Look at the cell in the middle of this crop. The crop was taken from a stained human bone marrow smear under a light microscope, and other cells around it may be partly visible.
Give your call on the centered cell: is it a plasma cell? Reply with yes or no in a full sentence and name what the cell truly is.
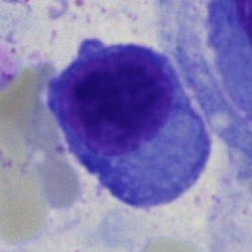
Yes, the cell positioned at the centre of the crop is a plasma cell.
